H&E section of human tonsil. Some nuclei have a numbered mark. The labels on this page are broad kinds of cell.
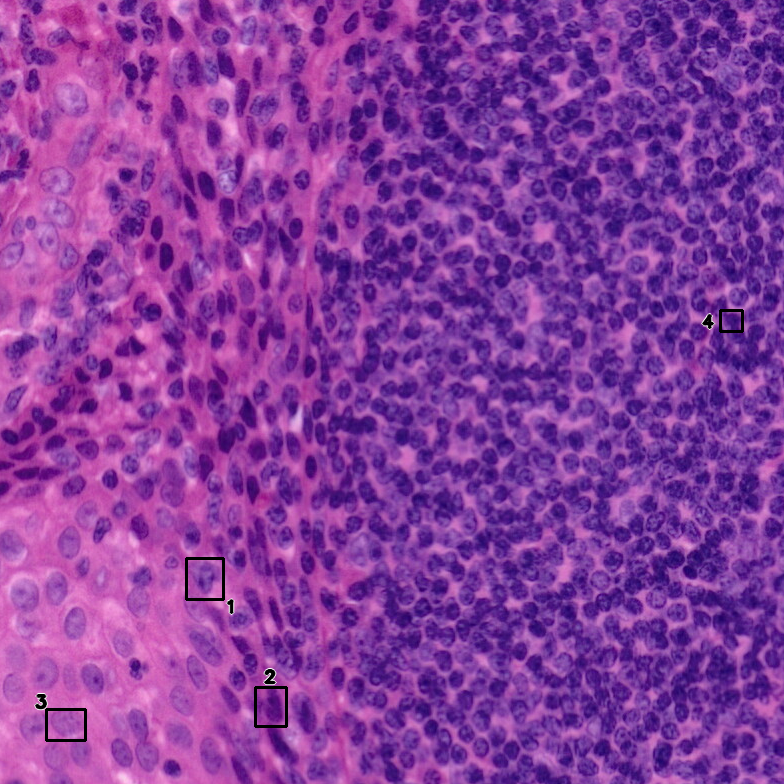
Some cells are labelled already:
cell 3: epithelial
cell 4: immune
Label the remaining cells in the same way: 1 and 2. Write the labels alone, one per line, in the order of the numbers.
epithelial
epithelial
